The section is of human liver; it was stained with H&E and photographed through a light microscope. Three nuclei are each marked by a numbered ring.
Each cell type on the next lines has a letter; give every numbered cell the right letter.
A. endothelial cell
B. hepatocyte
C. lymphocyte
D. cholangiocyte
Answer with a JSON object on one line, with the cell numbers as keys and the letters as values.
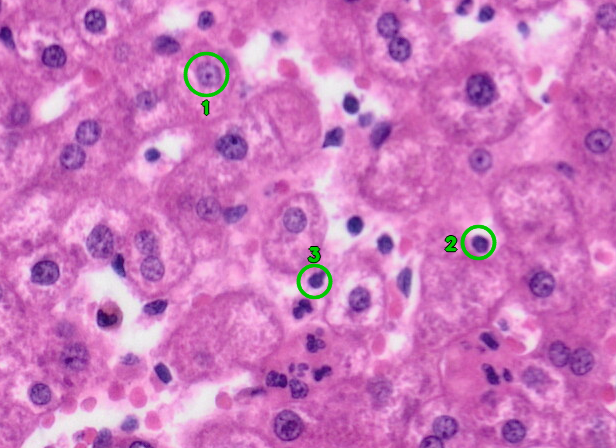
{"1": "B", "2": "C", "3": "C"}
